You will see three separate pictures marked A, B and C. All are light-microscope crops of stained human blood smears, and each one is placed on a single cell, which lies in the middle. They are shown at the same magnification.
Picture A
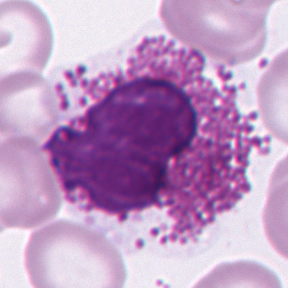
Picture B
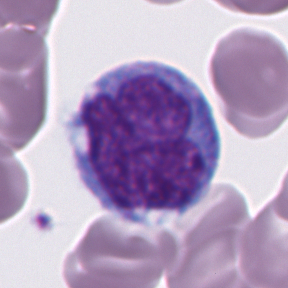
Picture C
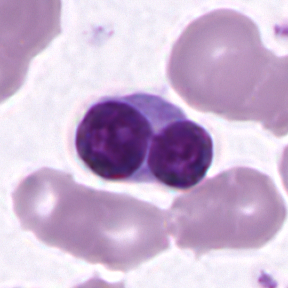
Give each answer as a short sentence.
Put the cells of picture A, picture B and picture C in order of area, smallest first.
Going up, they run C, B, A.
